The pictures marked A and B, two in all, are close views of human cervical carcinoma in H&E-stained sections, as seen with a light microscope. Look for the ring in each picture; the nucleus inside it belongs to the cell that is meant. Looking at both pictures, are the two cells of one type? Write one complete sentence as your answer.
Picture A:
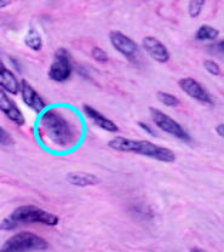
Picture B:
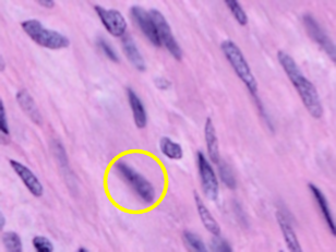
No, picture A shows an endothelial cell and picture B shows a fibroblast.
